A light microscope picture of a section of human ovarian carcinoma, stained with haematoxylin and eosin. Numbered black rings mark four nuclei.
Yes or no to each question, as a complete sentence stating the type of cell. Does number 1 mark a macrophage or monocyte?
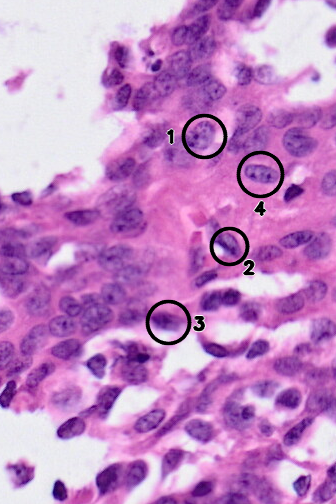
Yes, the cell tagged with the number 1 is a macrophage or monocyte.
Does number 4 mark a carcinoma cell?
No, calling cell 4 a carcinoma cell is incorrect; it is a macrophage or monocyte.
